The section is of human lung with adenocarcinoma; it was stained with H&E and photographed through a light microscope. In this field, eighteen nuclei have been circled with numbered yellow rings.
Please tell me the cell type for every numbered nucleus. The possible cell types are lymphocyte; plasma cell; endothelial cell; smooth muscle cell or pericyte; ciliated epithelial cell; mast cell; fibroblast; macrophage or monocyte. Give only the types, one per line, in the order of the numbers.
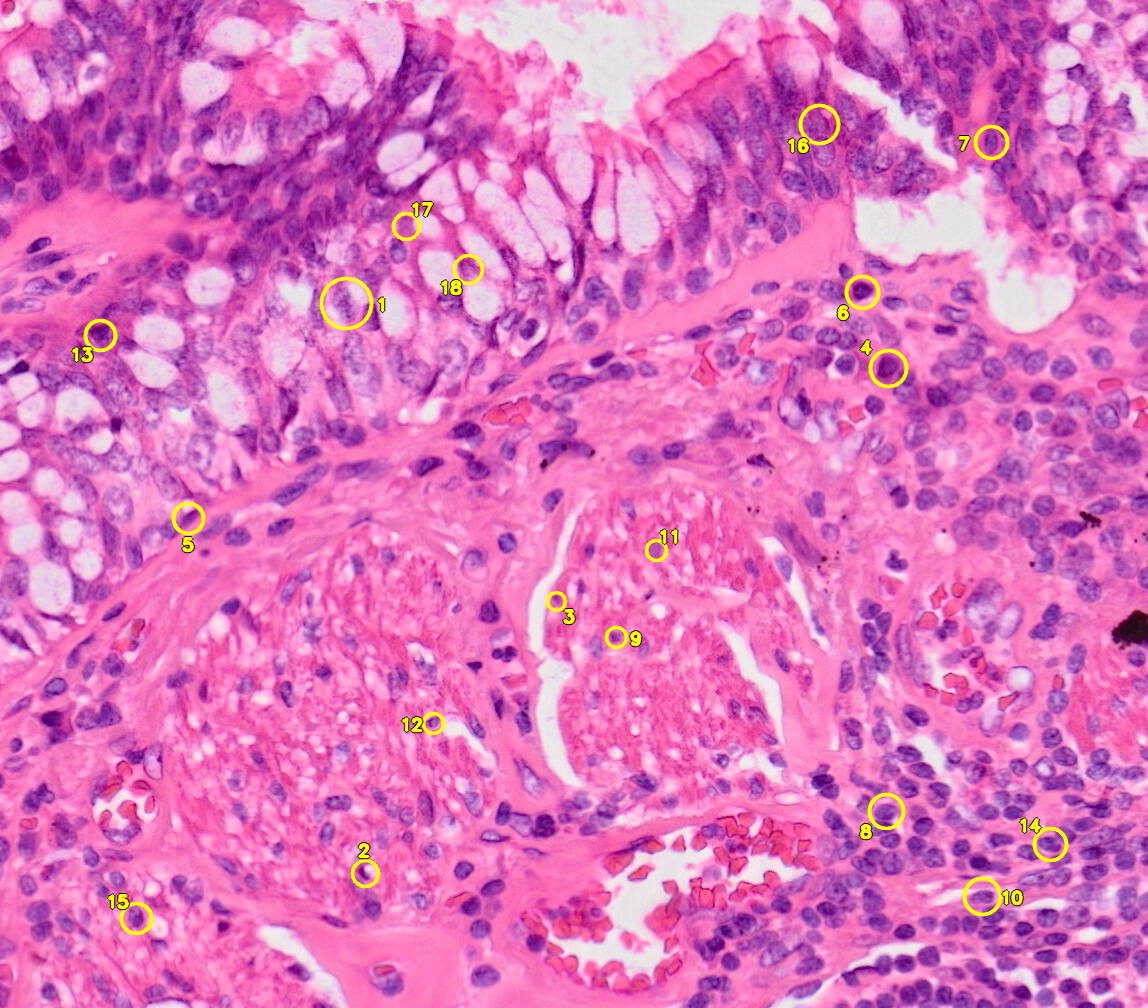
ciliated epithelial cell
smooth muscle cell or pericyte
smooth muscle cell or pericyte
plasma cell
ciliated epithelial cell
plasma cell
ciliated epithelial cell
lymphocyte
smooth muscle cell or pericyte
lymphocyte
smooth muscle cell or pericyte
smooth muscle cell or pericyte
ciliated epithelial cell
lymphocyte
smooth muscle cell or pericyte
ciliated epithelial cell
ciliated epithelial cell
ciliated epithelial cell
